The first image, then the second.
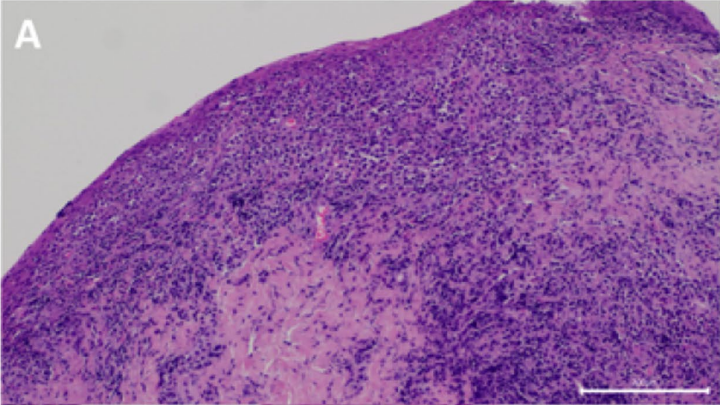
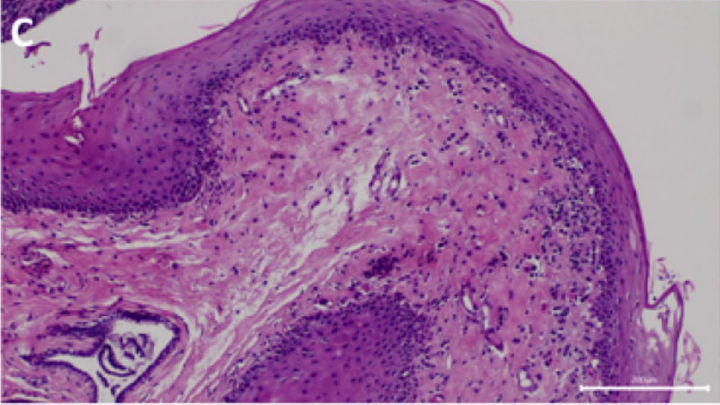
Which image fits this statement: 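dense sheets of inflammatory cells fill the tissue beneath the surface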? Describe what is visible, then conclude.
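The first image. Second image: the tissue beneath the epithelium is mostly pale pink with scattered cells.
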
